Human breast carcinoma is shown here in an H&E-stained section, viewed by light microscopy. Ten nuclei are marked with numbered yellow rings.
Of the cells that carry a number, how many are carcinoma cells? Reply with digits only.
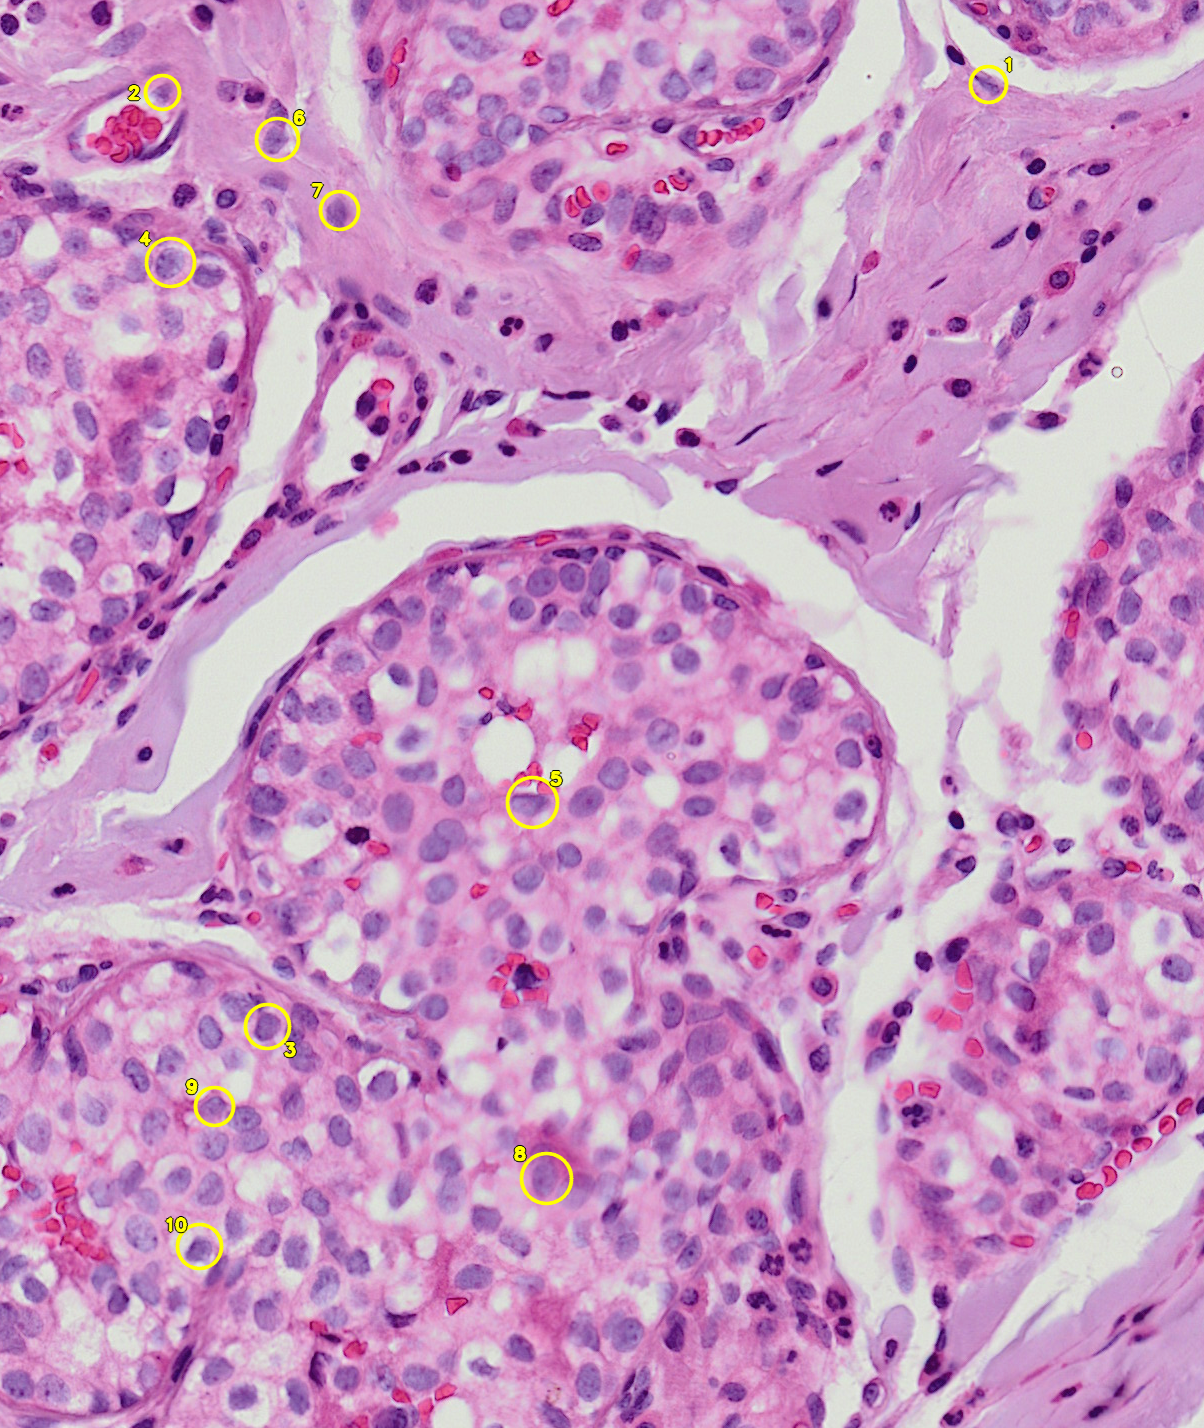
6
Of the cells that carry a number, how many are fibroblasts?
3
